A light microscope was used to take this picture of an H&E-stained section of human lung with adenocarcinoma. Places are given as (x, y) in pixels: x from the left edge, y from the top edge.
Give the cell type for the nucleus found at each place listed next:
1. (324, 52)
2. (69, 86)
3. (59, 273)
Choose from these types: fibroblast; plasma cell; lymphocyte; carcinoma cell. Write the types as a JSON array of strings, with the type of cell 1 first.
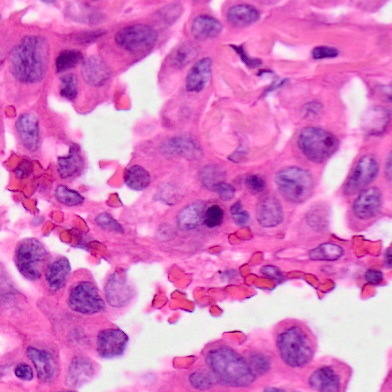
["lymphocyte", "carcinoma cell", "carcinoma cell"]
